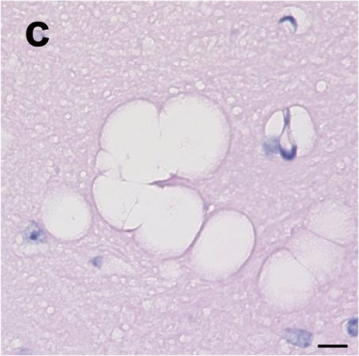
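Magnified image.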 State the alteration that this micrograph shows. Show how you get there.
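A cluster of round, clear, empty spaces lies in pale pink tissue. The spaces are sharply bounded and abut one another like a bunch. On this evidence: vacuolar structures.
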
